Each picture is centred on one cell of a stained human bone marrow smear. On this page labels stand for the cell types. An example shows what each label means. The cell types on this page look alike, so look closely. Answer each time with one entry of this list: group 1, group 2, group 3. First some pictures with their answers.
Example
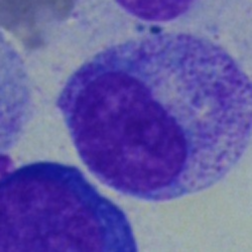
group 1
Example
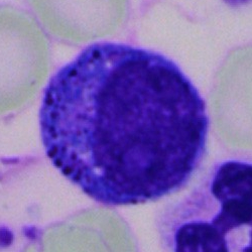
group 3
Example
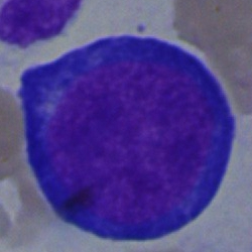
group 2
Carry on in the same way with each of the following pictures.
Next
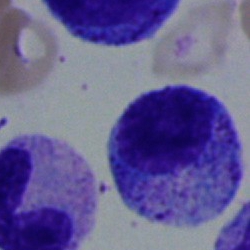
group 1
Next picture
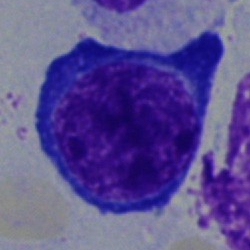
group 2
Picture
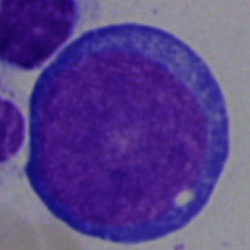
group 2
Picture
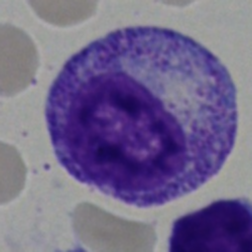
group 1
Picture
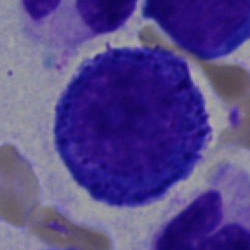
group 2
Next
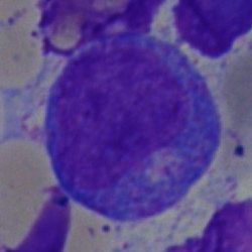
group 3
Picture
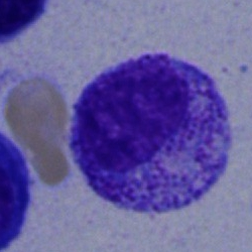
group 1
